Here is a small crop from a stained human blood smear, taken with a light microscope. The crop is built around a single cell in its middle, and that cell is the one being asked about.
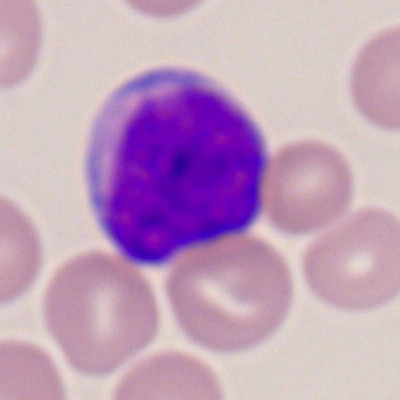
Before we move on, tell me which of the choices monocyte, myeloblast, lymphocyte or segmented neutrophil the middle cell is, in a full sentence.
The central cell in this smear crop is a myeloblast.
